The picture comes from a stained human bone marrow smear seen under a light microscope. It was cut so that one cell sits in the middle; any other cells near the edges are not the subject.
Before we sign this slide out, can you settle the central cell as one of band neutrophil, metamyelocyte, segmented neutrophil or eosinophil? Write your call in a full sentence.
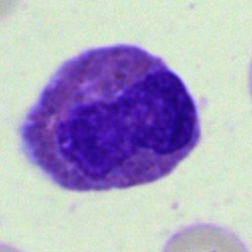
This particular crop is centered on an eosinophil.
